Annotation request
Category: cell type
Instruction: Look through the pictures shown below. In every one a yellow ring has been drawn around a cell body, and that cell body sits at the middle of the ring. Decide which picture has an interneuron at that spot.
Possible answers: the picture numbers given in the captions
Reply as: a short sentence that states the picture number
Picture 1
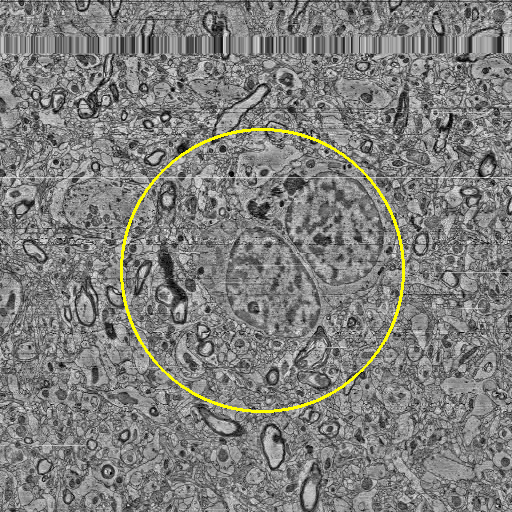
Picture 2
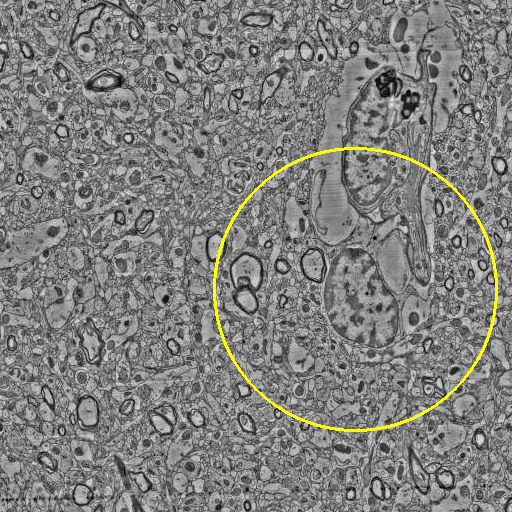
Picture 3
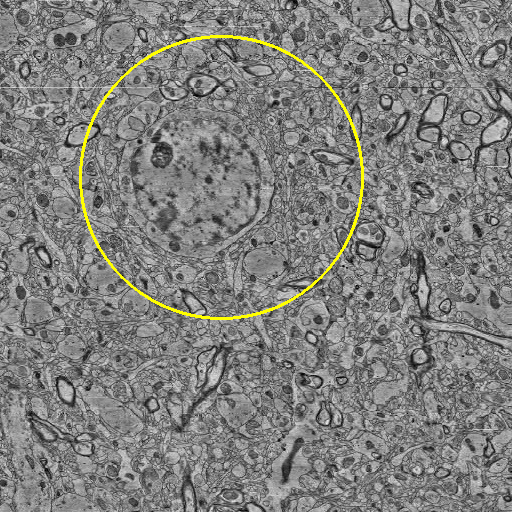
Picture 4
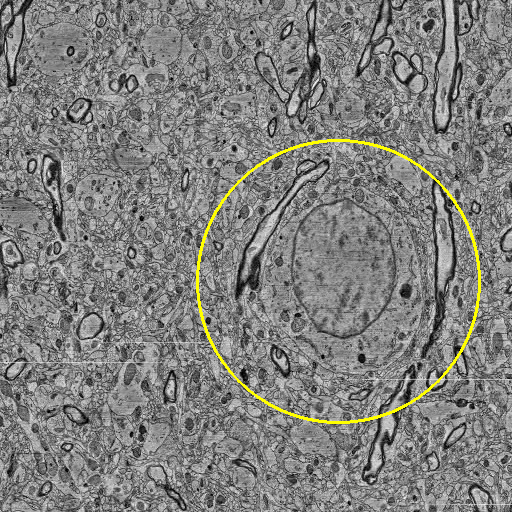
It is in Picture 3.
